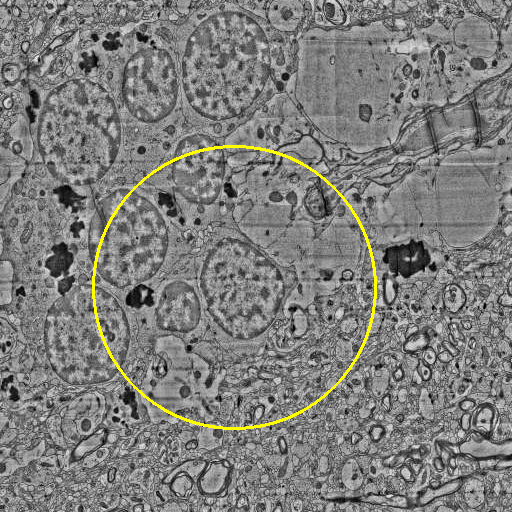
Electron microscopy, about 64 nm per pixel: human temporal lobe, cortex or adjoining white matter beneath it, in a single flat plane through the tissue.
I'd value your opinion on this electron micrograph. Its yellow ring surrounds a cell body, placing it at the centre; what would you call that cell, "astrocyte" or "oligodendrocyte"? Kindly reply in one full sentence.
It is an oligodendrocyte that sits centred within the yellow ring in this micrograph.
